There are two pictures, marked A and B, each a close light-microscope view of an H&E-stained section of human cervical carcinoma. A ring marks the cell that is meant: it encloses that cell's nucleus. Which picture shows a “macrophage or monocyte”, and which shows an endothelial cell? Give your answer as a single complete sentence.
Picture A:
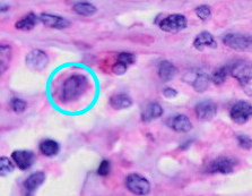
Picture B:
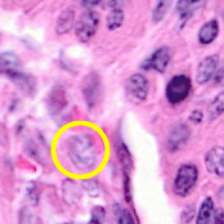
Picture B shows an endothelial cell, while picture A shows a “macrophage or monocyte”.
